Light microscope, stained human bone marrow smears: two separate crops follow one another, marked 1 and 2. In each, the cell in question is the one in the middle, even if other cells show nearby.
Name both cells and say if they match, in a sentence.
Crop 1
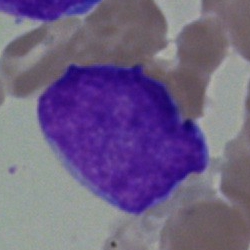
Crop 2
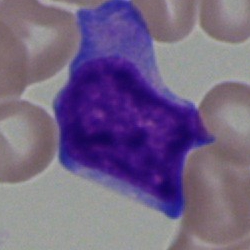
Yes, the two crops show blasts at their centres.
